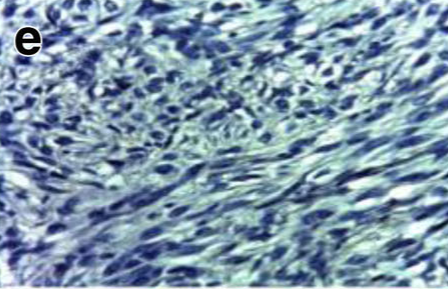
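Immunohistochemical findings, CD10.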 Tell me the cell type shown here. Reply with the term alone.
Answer: Spindle tumor cells.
